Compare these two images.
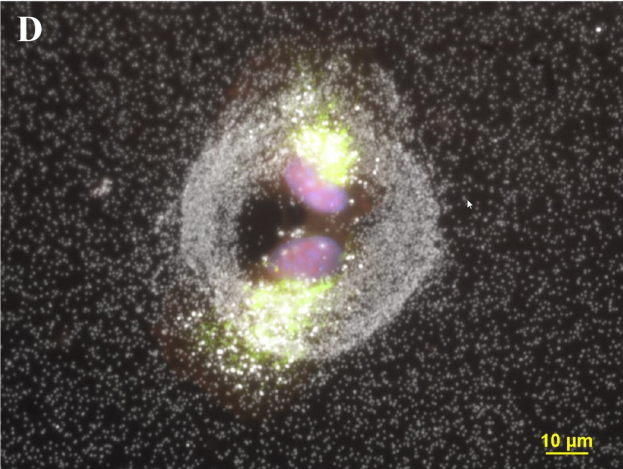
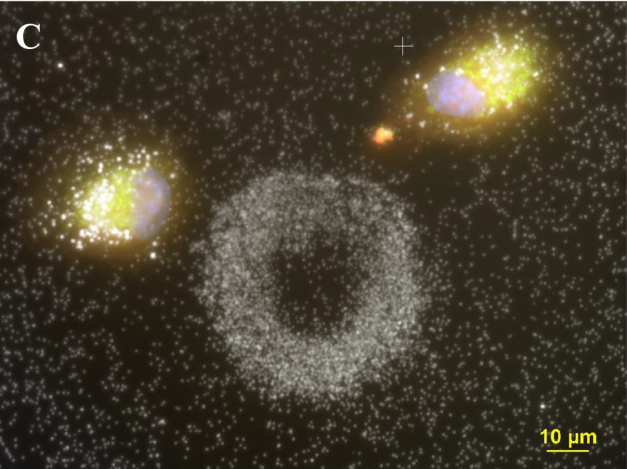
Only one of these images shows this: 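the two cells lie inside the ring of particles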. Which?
the first image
